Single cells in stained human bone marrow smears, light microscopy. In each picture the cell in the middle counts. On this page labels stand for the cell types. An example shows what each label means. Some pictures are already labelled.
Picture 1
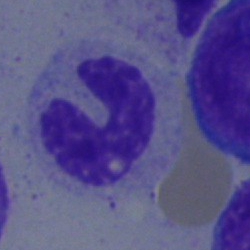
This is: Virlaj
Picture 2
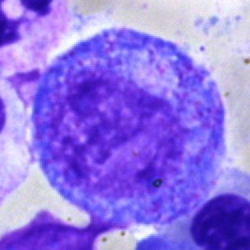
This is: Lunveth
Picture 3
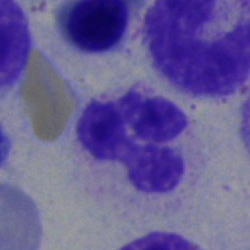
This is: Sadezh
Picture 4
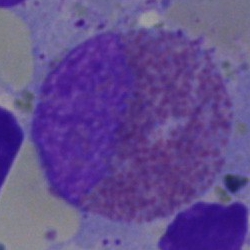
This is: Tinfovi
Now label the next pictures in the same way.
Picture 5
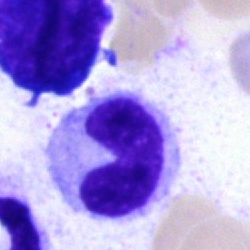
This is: Virlaj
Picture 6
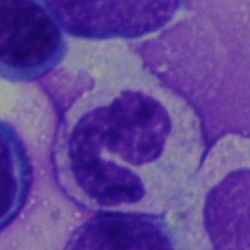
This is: Sadezh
